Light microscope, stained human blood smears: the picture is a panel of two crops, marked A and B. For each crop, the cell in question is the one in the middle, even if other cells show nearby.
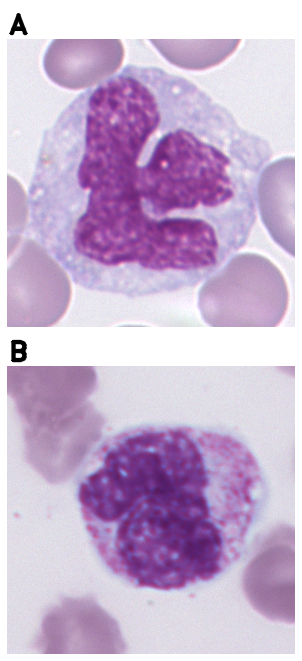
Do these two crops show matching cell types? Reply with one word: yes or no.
no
